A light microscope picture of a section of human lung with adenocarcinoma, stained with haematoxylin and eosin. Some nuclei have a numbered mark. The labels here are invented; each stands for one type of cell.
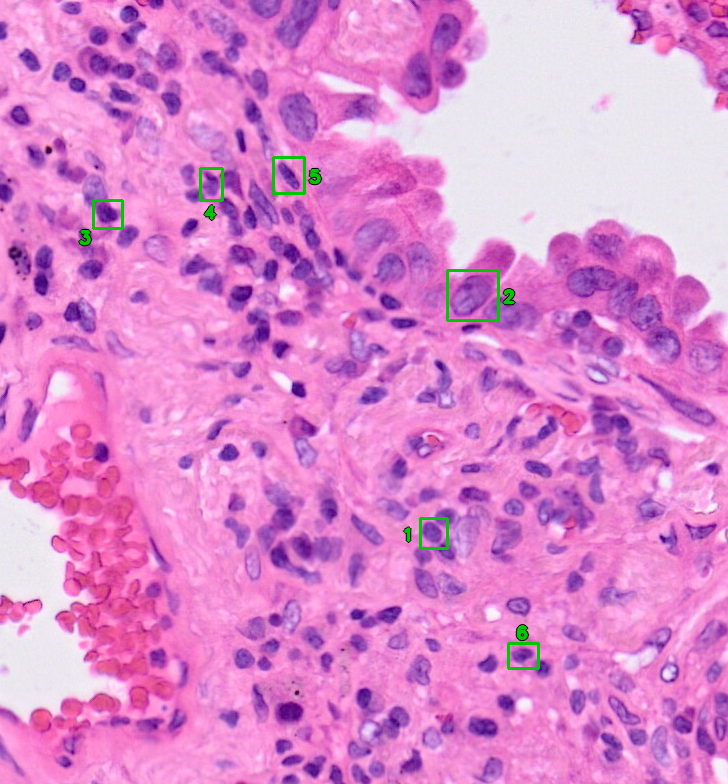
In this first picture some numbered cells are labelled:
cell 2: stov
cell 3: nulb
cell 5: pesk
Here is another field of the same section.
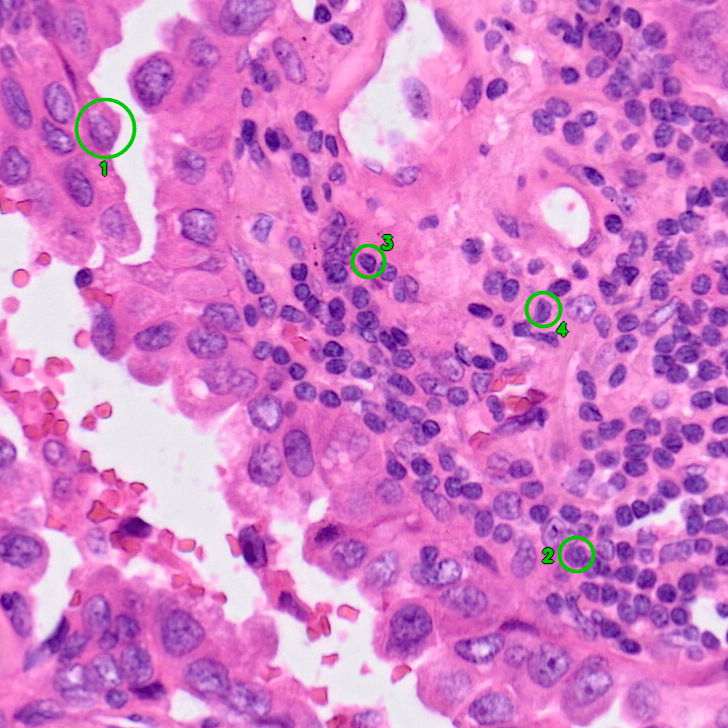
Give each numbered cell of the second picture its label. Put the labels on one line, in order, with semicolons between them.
stov; pesk; pesk; pesk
